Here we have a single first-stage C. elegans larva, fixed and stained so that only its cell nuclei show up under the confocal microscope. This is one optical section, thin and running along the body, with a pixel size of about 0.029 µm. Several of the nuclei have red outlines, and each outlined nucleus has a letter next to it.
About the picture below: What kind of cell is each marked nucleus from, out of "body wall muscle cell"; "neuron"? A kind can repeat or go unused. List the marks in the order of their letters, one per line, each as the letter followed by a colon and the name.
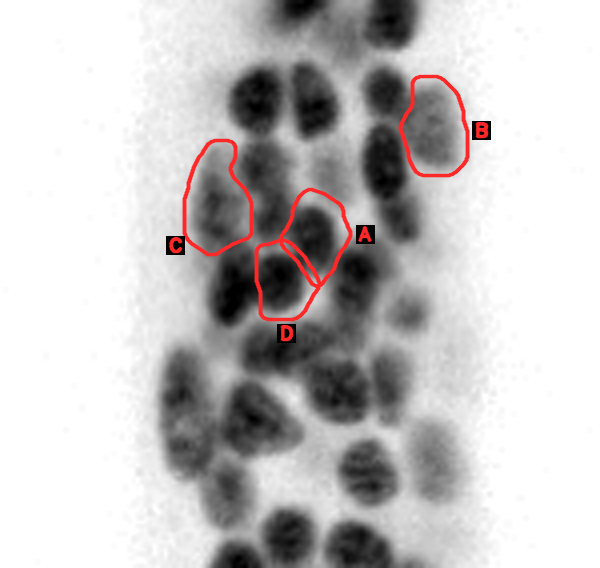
A: neuron
B: body wall muscle cell
C: body wall muscle cell
D: neuron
